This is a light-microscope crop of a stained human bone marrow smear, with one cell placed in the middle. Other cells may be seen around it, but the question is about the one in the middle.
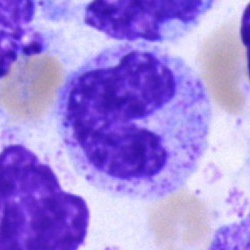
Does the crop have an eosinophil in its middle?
no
